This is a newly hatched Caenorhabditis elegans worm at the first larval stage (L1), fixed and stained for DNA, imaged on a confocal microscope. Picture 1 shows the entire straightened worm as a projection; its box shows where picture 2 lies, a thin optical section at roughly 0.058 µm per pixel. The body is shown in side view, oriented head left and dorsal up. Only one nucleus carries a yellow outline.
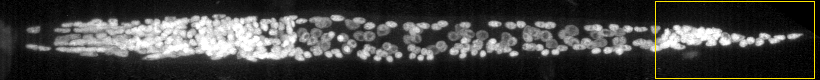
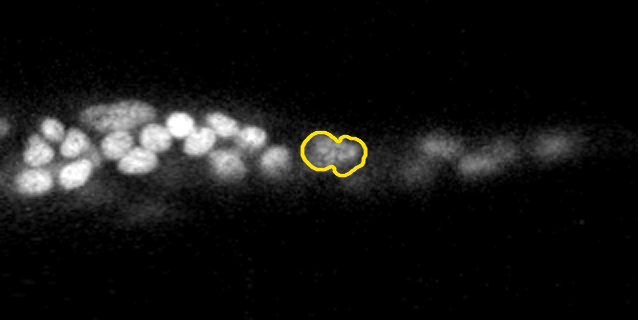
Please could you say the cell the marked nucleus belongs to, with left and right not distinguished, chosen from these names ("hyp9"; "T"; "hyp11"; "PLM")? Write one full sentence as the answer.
This is the nucleus of T, a seam cell.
